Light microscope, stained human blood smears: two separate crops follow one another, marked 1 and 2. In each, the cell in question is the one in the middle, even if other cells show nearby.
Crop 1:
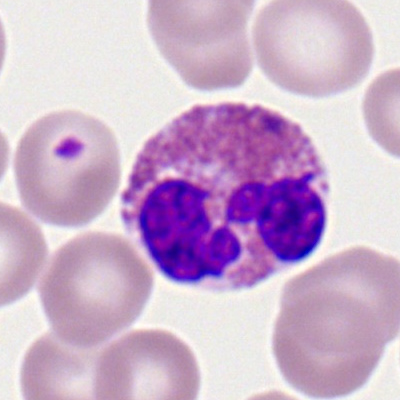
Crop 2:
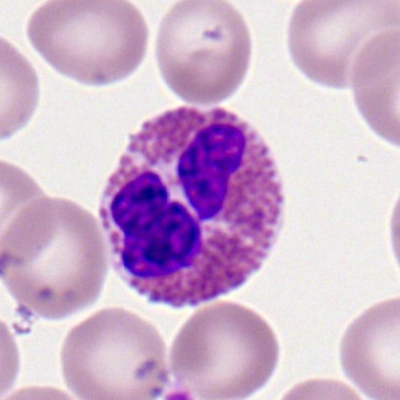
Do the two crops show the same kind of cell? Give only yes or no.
yes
